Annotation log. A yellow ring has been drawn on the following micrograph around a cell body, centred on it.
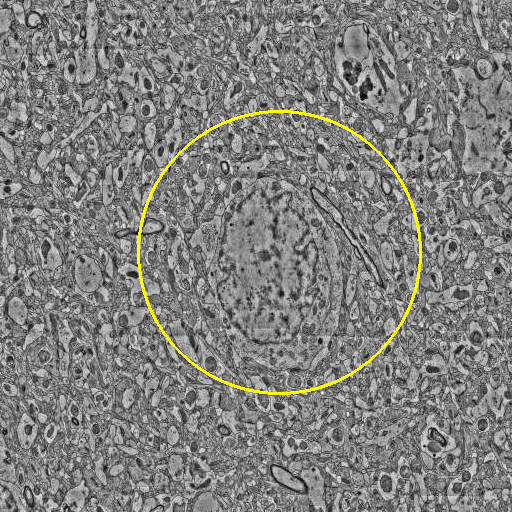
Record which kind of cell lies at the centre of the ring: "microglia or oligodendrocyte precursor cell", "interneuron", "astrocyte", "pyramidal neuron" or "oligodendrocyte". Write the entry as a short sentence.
The cell the ring is centred on is an interneuron.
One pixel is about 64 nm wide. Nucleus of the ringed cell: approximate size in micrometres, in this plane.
In this plane the nucleus is about 10 micrometres by 7.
